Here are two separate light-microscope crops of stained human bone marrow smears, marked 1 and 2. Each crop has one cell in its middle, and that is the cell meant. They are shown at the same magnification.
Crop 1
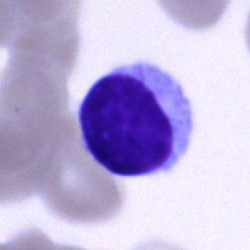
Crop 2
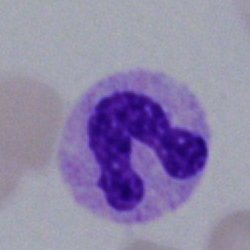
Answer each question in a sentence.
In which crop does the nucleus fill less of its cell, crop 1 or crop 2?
It is the cell in crop 2 that is filled less by its nucleus.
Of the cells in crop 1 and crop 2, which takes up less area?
Smaller is the cell in crop 1, and the other is about 1.5 times as large in area.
